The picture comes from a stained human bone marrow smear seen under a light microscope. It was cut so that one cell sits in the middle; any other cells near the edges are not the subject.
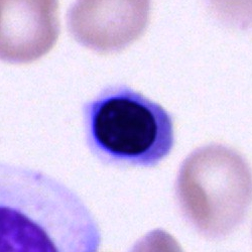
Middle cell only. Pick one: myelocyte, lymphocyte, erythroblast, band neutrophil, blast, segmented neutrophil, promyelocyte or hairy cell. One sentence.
The cell around which this crop is centred is an erythroblast.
